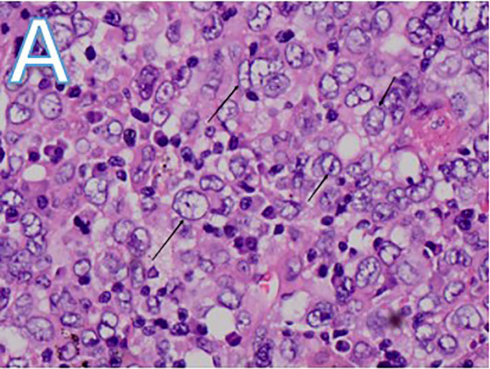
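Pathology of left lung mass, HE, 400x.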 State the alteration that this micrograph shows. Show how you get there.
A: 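Nuclei vary markedly in size and shape. Many nuclei are large with open, pale chromatin and visible nucleoli. Cells lie in sheets without orderly arrangement. The answer: cytologic atypia.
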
